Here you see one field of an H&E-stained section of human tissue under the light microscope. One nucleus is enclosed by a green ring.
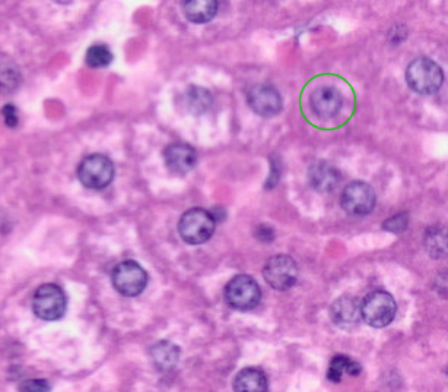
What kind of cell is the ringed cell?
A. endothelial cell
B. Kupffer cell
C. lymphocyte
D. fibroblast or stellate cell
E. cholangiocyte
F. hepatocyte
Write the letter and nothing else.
F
